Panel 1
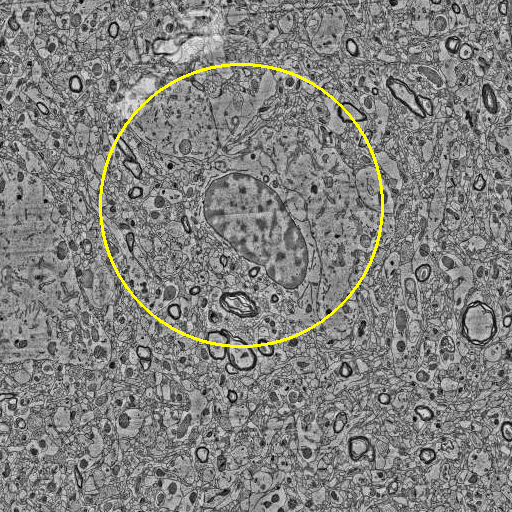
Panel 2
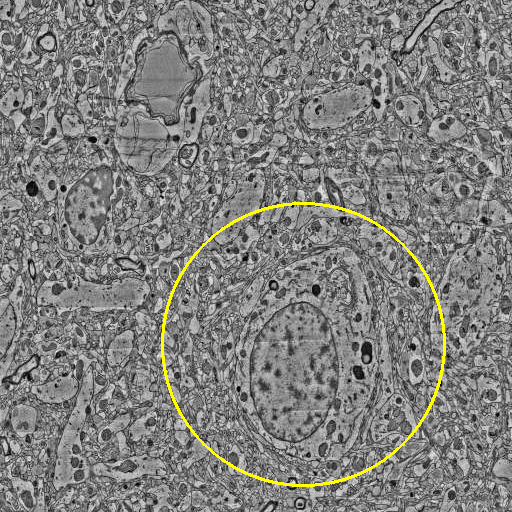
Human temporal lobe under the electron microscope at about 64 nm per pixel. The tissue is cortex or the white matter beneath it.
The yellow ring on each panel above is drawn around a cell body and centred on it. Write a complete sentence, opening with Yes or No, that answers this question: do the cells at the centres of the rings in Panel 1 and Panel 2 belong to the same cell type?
No, the two cells belong to two cell types.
